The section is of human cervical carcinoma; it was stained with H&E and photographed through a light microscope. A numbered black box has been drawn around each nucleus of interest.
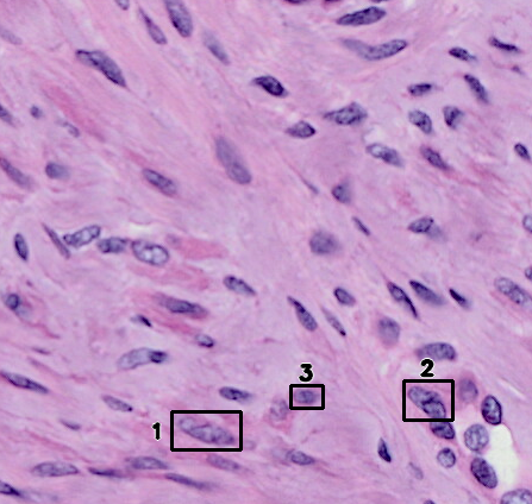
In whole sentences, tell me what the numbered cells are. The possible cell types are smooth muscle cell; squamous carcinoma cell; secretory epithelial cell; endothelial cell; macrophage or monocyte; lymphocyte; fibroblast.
Cells 1 and 3 are smooth muscle cells. Cell 2 is an endothelial cell.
